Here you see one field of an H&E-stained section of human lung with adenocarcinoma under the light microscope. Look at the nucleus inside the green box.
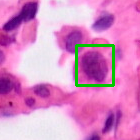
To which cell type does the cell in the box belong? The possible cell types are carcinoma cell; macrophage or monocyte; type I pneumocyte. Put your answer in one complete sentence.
By its classification, the cell in the box is a macrophage or monocyte.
